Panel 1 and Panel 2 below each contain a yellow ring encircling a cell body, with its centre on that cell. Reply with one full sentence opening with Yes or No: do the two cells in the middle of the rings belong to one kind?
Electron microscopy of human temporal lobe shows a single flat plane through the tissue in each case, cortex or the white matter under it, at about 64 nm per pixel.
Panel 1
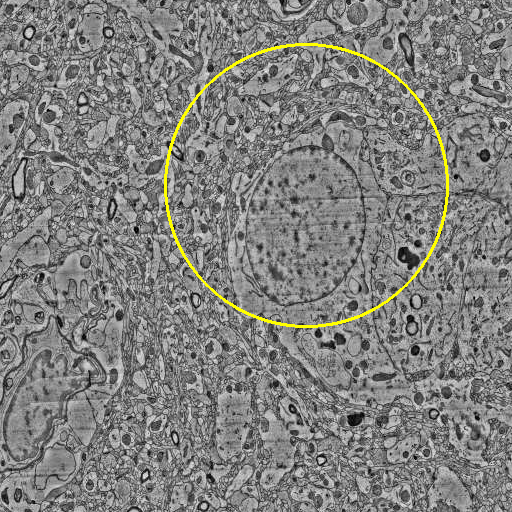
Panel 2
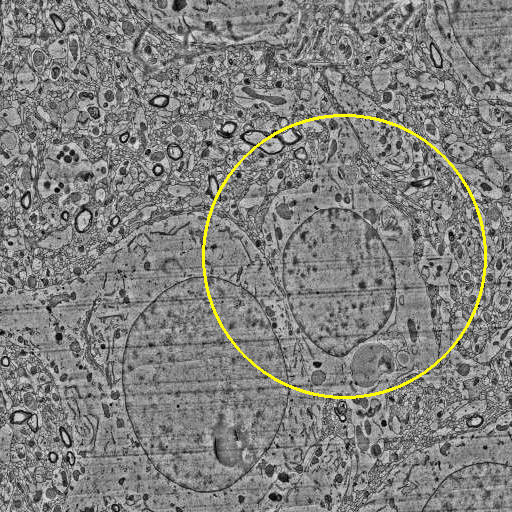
Yes, the cells at the middle of the Panel 1 ring and the Panel 2 ring are of one kind.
